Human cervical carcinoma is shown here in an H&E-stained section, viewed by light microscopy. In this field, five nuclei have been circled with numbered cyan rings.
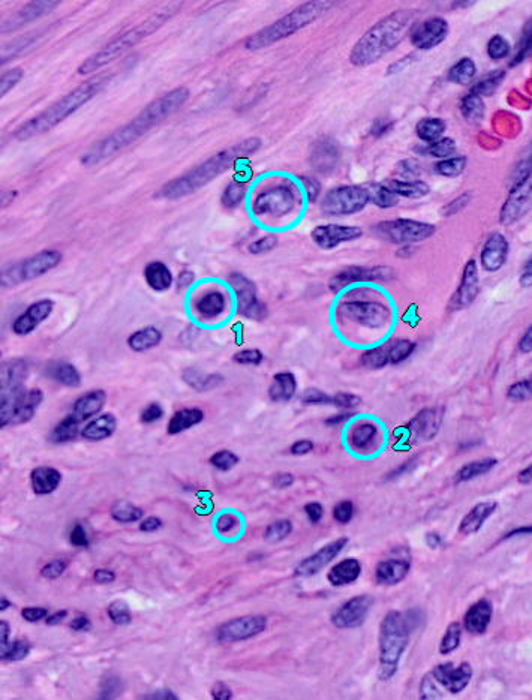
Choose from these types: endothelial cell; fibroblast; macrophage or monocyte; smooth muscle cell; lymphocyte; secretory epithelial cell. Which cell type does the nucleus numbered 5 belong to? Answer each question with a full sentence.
The nucleus with number 5 is that of an endothelial cell.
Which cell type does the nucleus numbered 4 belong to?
The cell that goes by number 4 is an endothelial cell.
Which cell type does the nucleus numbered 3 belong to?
The cell assigned the number 3 is a smooth muscle cell.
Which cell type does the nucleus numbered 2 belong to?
Cell 2 in the field of view is a smooth muscle cell.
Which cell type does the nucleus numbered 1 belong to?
Denoted by the label 1 in the section is a lymphocyte.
